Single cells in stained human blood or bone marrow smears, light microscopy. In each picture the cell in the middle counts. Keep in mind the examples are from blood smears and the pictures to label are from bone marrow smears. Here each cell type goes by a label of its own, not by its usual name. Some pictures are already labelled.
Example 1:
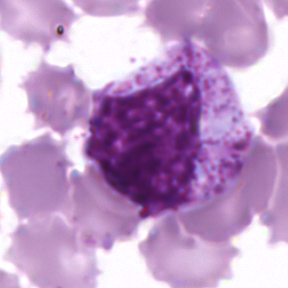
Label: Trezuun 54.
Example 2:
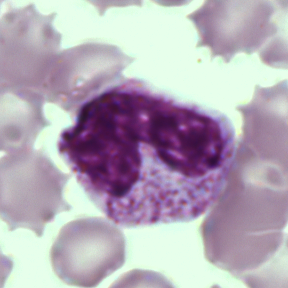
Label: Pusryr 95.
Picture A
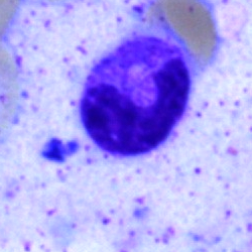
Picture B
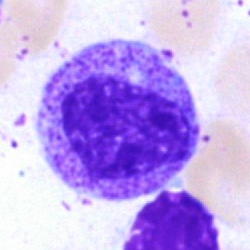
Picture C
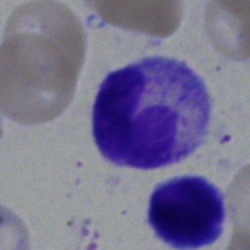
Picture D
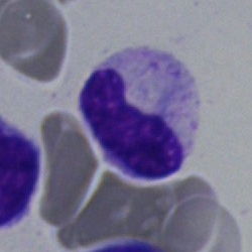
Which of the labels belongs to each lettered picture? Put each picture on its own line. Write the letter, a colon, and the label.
A: Pusryr 95.
B: Trezuun 54.
C: Pusryr 95.
D: Pusryr 95.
